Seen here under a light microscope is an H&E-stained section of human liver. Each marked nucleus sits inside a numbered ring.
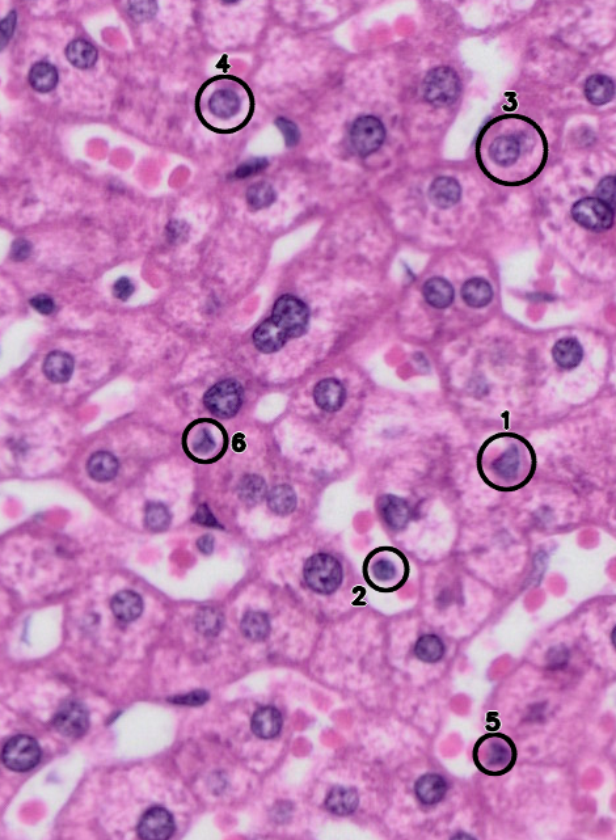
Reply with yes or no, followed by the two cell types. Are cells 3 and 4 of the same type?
Yes, both cells, 3 and 4, are hepatocytes.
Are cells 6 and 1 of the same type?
Yes, cells 6 and 1 are both endothelial cells in this section.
